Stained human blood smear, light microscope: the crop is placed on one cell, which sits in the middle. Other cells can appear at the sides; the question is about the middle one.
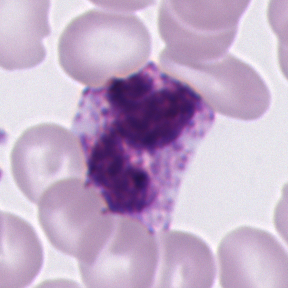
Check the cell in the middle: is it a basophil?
yes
